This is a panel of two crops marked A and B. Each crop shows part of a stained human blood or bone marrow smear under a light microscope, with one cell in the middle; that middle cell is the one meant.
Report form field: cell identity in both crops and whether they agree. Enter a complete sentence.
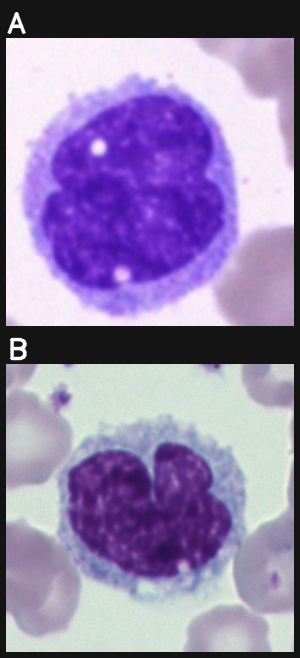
Yes, the reply for both crops is monocytes.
